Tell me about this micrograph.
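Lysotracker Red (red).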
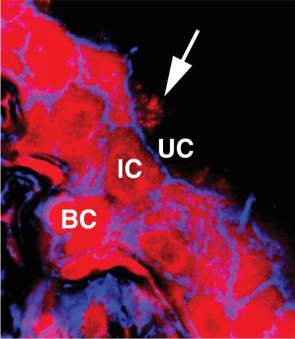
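The basal and intermediate cells, rounded to polygonal and tightly packed in several layers, show a diffuse red fill throughout their cytoplasm, with darker round nuclear areas in some. Underlying fibrous tissue with blue streaks lies at the lower left, and the lumen is black.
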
